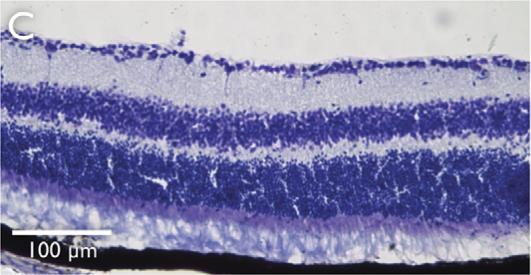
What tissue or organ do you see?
retina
